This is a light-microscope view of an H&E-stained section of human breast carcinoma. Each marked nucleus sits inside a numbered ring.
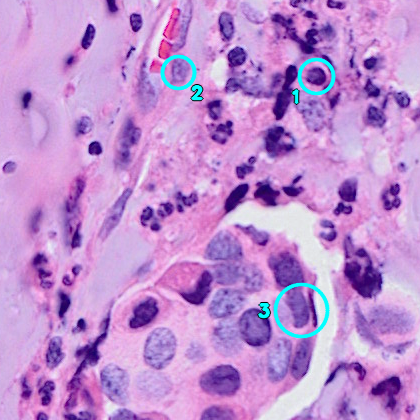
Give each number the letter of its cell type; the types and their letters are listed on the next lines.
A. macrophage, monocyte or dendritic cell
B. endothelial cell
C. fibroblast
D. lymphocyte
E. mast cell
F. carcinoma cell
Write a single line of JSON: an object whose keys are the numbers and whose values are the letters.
{"1": "D", "2": "B", "3": "F"}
